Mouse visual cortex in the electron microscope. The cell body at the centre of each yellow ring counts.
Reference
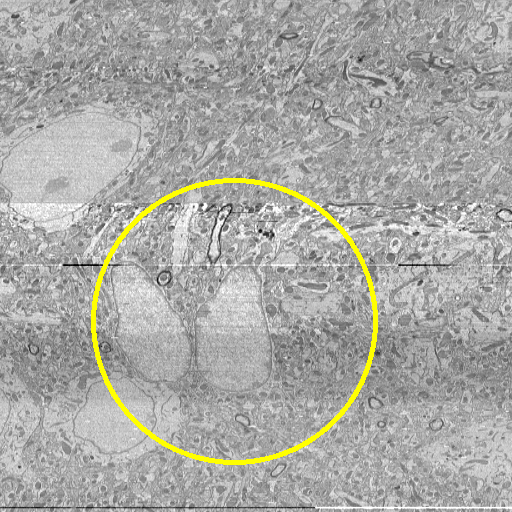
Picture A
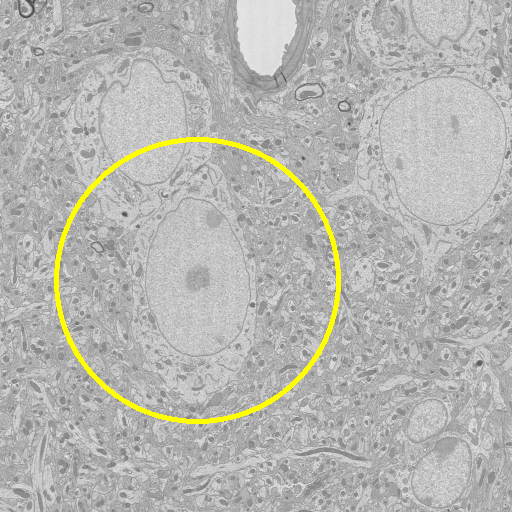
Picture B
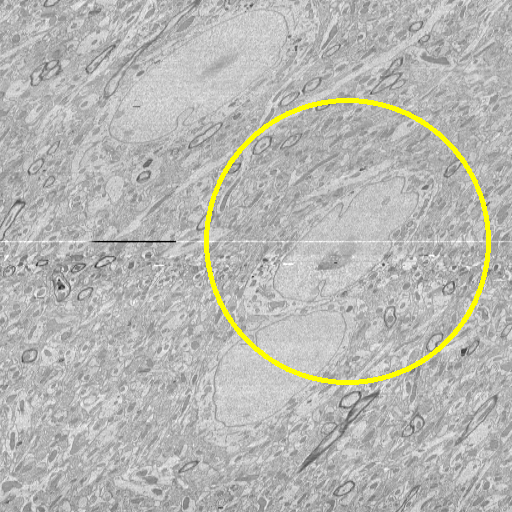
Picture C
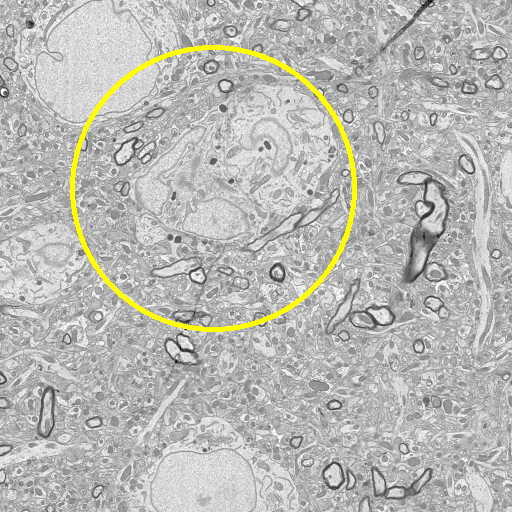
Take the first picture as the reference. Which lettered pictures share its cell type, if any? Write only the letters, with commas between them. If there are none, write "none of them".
none of them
